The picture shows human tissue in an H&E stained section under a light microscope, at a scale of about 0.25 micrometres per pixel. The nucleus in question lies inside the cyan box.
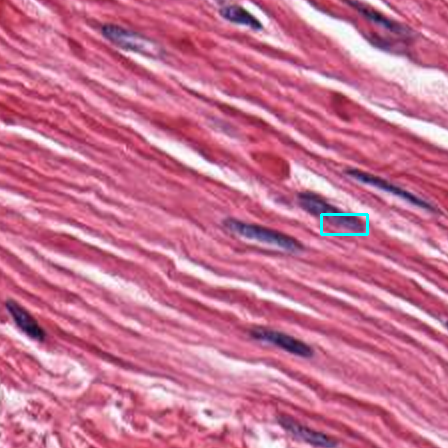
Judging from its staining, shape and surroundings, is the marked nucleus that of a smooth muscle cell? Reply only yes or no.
yes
